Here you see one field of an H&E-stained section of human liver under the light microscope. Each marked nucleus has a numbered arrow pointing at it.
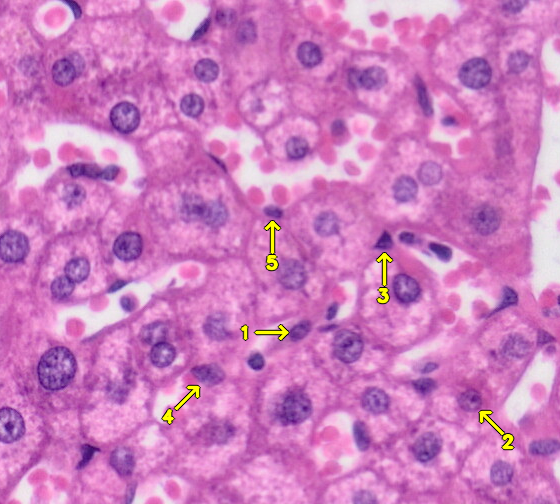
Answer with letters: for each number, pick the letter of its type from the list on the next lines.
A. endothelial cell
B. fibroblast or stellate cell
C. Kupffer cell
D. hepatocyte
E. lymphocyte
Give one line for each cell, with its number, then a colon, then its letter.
1: C
2: D
3: B
4: A
5: B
